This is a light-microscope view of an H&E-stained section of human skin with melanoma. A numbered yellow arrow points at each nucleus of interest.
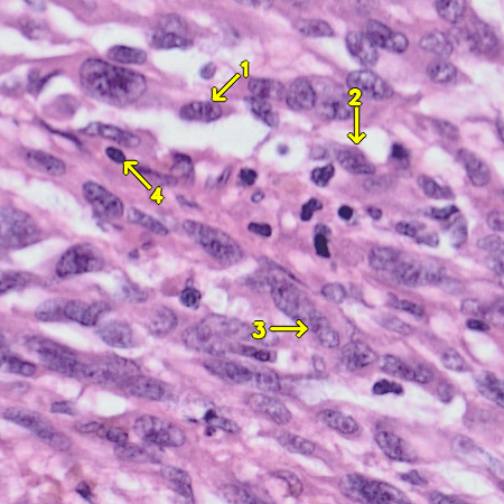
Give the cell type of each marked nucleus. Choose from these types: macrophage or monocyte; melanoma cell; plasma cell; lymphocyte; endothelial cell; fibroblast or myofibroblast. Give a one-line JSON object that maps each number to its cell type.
{"1": "melanoma cell", "2": "melanoma cell", "3": "melanoma cell", "4": "lymphocyte"}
